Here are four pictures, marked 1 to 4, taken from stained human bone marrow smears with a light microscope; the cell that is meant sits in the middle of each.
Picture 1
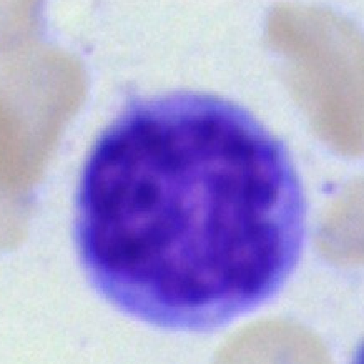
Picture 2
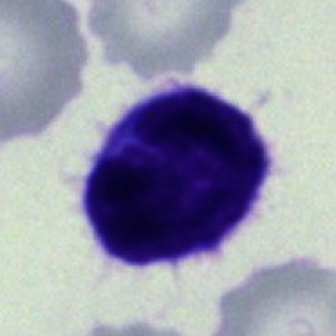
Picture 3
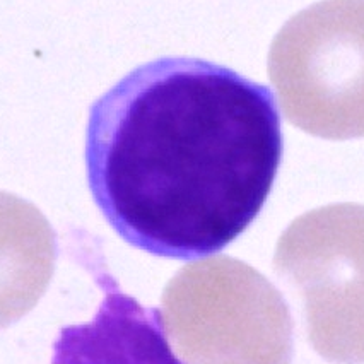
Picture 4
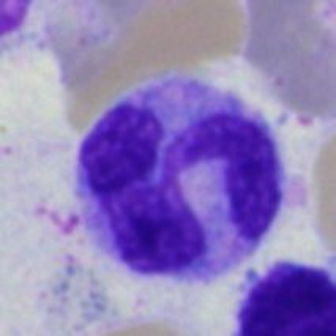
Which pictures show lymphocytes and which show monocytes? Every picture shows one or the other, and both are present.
1: monocyte
2: lymphocyte
3: lymphocyte
4: monocyte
